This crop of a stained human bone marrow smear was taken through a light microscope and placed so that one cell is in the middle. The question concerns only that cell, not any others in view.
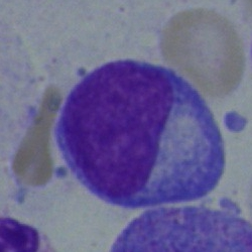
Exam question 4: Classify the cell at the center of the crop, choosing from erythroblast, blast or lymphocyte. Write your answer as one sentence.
The centrally placed cell is classified as a blast.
